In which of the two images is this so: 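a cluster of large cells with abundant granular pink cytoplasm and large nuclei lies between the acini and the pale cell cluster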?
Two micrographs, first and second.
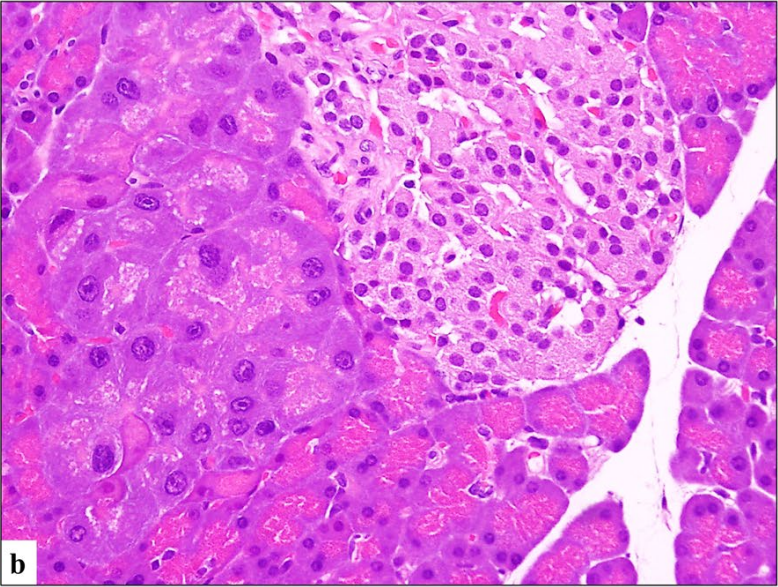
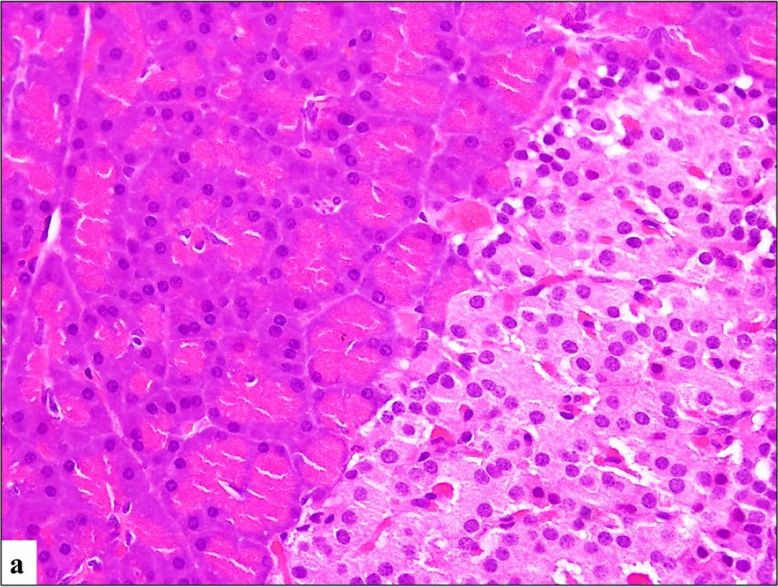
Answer: The first image.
